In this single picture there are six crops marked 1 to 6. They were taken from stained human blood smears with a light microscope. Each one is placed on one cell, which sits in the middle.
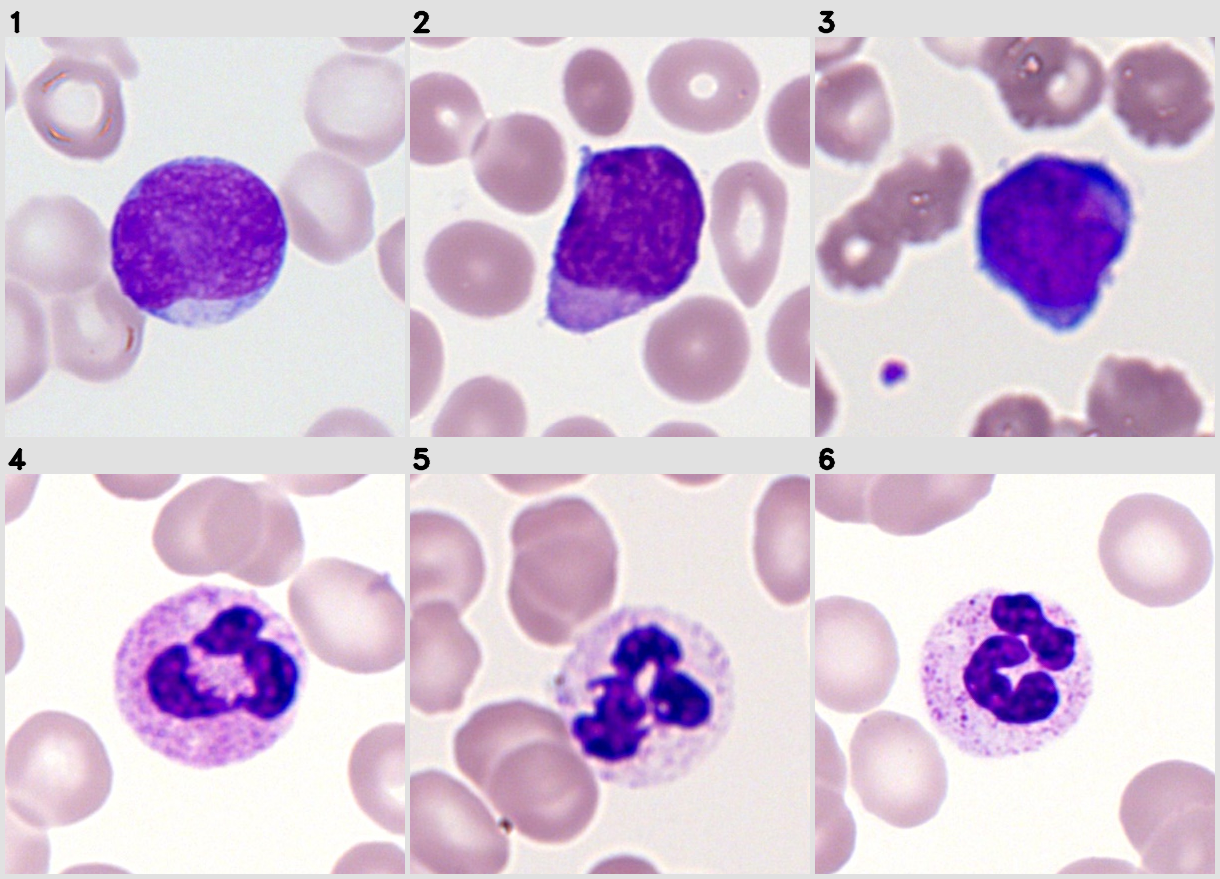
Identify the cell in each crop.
1: myeloblast
2: myeloblast
3: myeloblast
4: segmented neutrophil
5: segmented neutrophil
6: segmented neutrophil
